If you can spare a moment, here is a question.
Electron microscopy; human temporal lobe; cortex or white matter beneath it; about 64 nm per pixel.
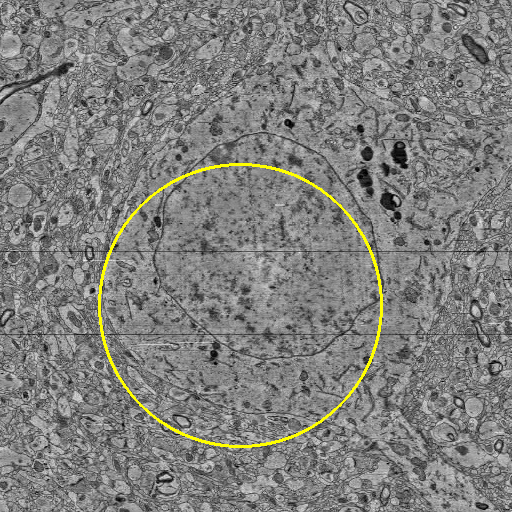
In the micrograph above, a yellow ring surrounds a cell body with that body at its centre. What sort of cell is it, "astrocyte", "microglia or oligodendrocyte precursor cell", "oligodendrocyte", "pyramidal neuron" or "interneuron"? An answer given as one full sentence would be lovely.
Centred inside the yellow ring, the cell body shown belongs to a pyramidal neuron in this micrograph.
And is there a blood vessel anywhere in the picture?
No, the picture includes no blood vessel.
